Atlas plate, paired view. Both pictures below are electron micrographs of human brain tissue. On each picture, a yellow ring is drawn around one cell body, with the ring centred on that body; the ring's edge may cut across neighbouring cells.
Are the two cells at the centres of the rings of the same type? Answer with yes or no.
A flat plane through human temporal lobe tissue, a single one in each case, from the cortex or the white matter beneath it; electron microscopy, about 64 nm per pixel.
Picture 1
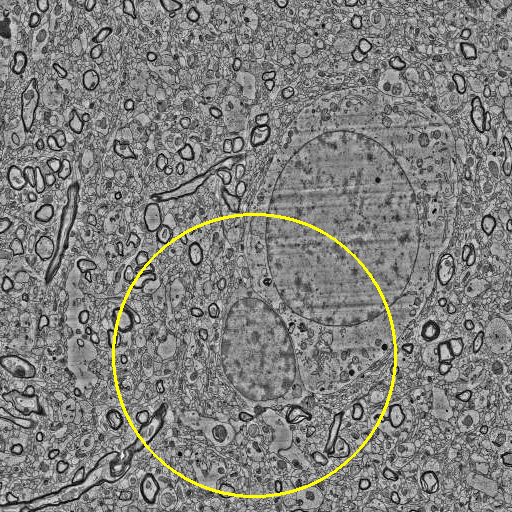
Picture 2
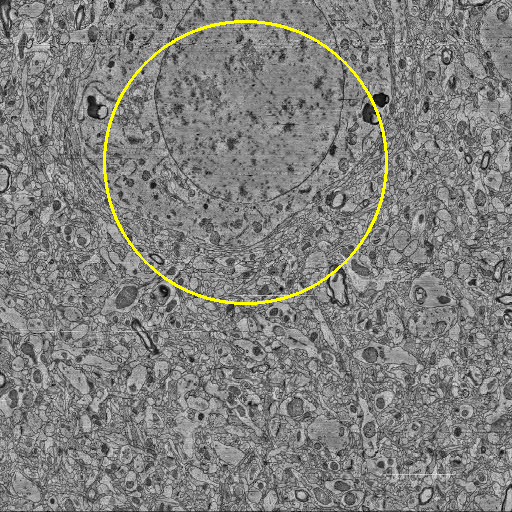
no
